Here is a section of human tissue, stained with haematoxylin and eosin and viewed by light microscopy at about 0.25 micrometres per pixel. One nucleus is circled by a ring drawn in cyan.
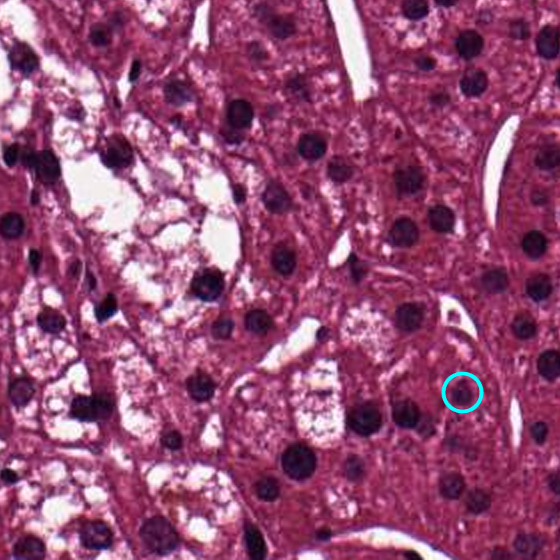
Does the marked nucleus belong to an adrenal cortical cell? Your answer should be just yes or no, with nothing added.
yes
